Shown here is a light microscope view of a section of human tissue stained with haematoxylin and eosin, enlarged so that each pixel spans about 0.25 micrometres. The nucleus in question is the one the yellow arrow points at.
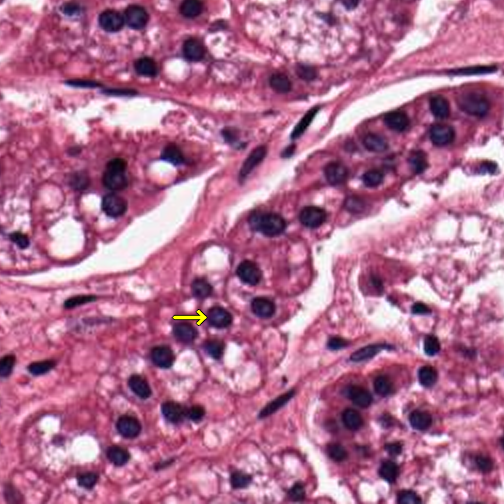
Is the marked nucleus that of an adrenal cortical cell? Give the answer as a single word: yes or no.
yes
